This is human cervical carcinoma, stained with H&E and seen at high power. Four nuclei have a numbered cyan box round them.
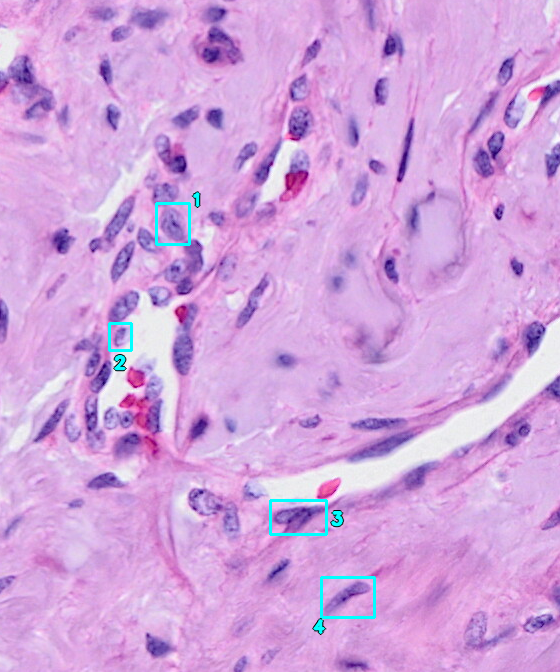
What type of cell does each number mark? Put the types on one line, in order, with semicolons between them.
endothelial cell; endothelial cell; endothelial cell; fibroblast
